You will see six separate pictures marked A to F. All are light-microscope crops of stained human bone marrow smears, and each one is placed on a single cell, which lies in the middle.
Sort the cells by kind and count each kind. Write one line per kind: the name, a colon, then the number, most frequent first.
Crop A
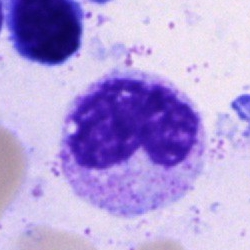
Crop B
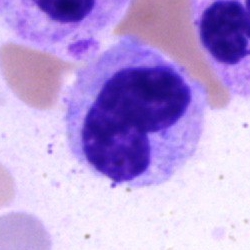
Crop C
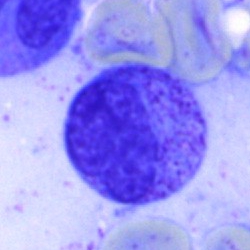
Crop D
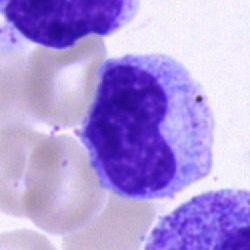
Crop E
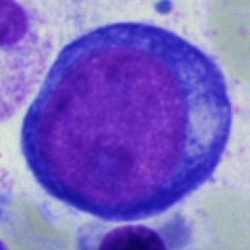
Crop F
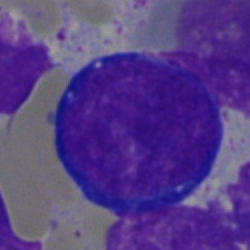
metamyelocyte: 4
proerythroblast: 2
